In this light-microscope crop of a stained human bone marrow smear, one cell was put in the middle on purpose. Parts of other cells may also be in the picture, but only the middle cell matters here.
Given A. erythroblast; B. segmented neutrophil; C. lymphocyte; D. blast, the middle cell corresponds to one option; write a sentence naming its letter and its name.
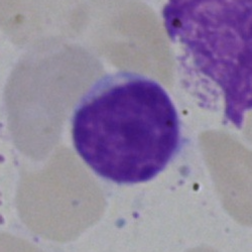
Option C correctly names the cell in the middle as a lymphocyte.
